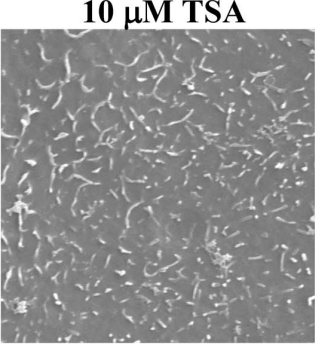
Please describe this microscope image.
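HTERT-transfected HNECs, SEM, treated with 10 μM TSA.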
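The surface is densely scattered with slender, curved, thread-like projections that run in many directions, with a few small tangled clusters. The cell borders beneath are faint.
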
